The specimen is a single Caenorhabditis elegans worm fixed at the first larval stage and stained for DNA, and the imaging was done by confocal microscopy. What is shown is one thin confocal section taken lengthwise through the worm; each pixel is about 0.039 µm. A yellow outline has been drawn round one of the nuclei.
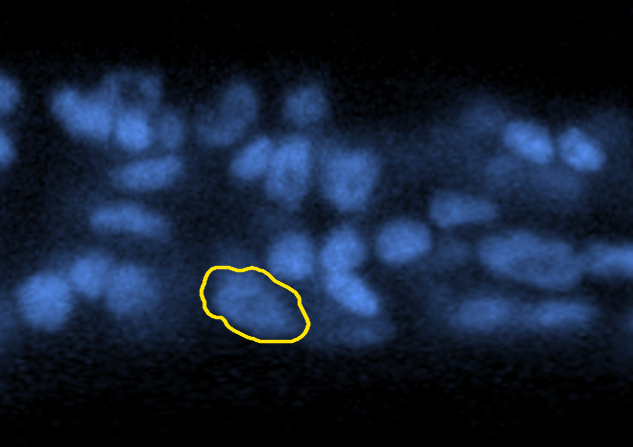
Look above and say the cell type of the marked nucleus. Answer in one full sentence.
The nucleus comes from a pharyngeal muscle cell.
